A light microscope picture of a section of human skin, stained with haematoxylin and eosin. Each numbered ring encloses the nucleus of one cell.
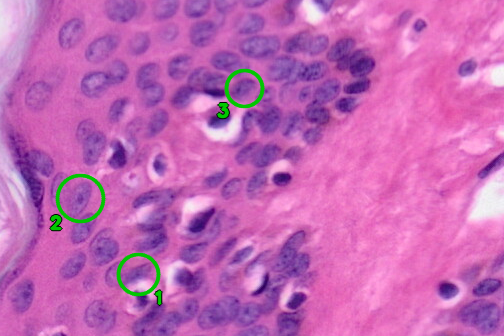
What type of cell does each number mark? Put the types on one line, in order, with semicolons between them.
basal keratinocyte; suprabasal keratinocyte; basal keratinocyte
